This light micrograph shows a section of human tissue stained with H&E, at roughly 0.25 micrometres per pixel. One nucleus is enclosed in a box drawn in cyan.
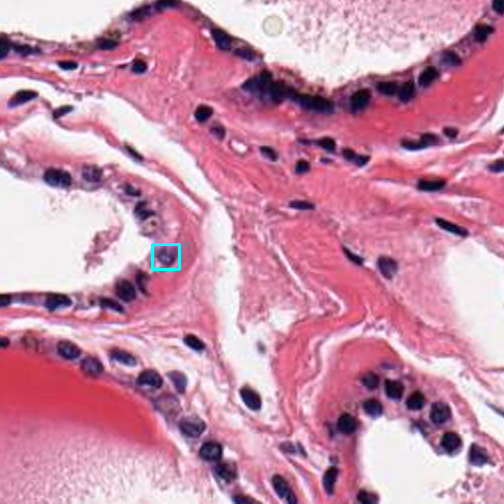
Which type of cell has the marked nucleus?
thyroid follicular cell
